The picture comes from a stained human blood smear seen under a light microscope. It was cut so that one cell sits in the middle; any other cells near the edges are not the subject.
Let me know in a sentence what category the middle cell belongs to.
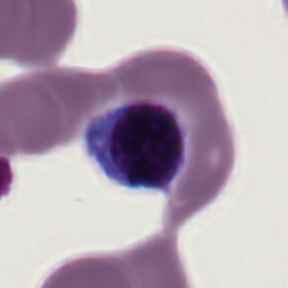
In short, the cell at the center is a plasma cell.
